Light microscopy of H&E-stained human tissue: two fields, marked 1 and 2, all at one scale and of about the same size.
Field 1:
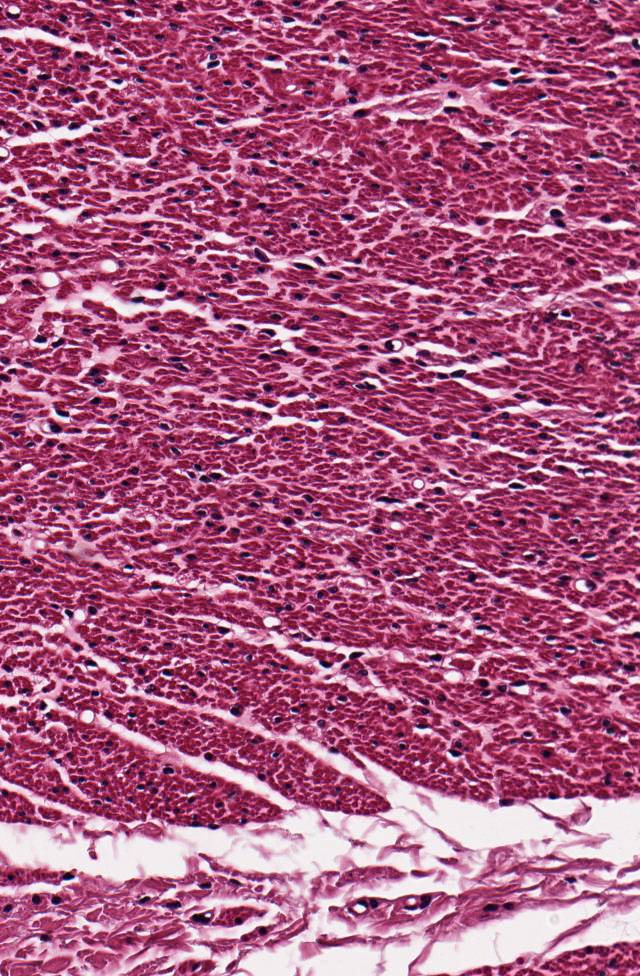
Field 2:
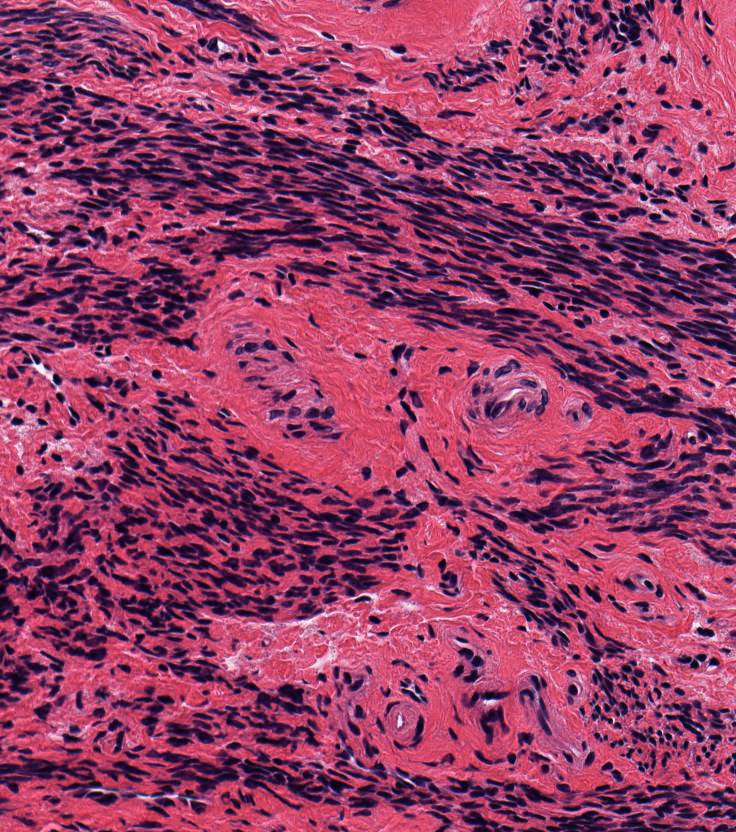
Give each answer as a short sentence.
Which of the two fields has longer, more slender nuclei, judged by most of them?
Longer, more slender nuclei lie in field 2.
